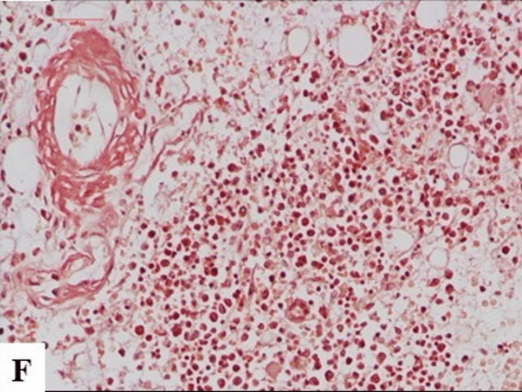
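This is bone marrow with densely packed hematopoietic cells and scattered fat spaces. The marrow cells are small and round with darkly stained nuclei, crowding the right and lower part of the field. Round clear fat vacuoles of varying size lie among them. Faint red material also lies around nearby smaller vessels.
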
